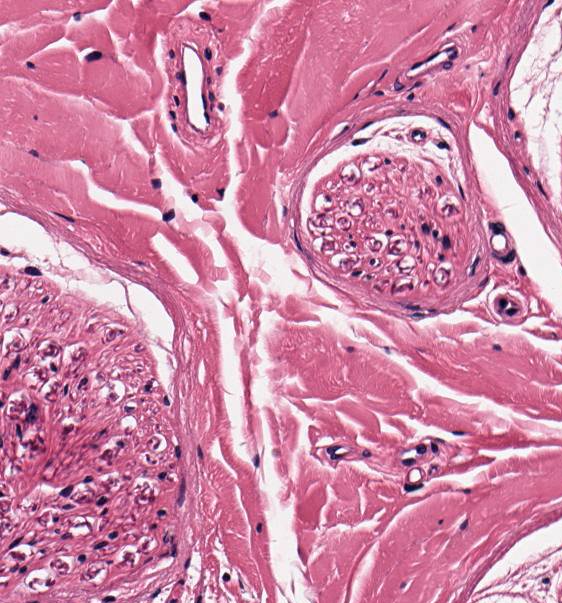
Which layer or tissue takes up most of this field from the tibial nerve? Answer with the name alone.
epineurium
